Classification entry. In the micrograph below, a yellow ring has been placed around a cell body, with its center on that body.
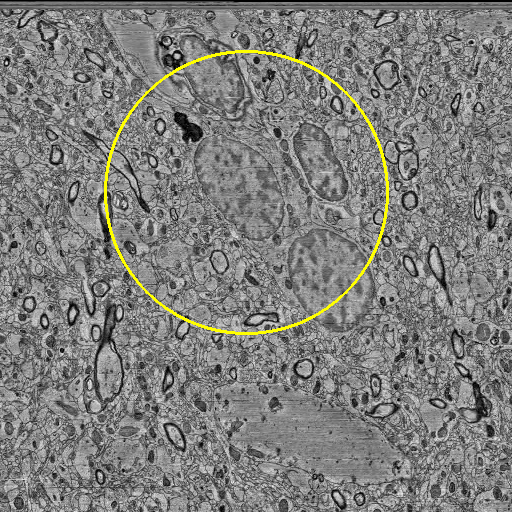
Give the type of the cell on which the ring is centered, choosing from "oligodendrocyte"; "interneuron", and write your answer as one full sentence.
The cell body at the center of the yellow ring belongs to an oligodendrocyte.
